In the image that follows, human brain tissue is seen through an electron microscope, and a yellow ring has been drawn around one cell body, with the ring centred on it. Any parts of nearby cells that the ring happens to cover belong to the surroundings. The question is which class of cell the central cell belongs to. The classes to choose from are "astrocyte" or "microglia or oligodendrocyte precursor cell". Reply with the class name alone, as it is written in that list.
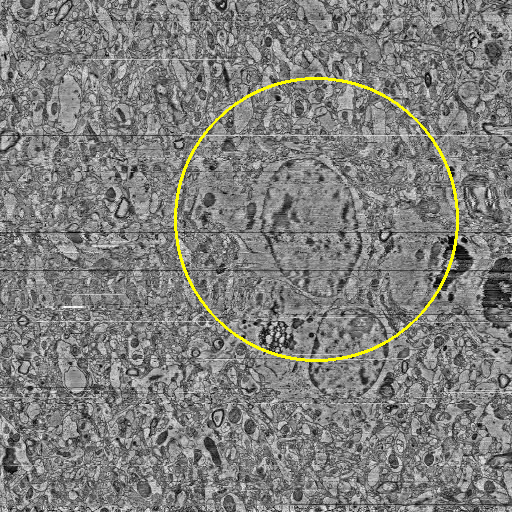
astrocyte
